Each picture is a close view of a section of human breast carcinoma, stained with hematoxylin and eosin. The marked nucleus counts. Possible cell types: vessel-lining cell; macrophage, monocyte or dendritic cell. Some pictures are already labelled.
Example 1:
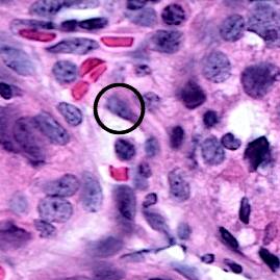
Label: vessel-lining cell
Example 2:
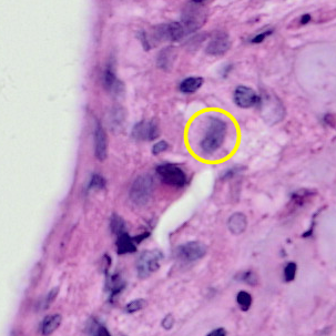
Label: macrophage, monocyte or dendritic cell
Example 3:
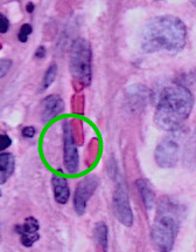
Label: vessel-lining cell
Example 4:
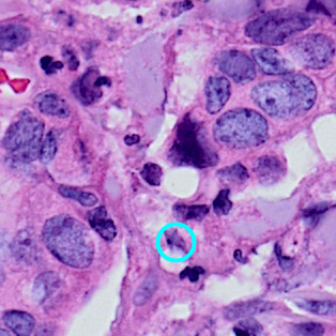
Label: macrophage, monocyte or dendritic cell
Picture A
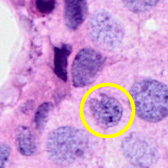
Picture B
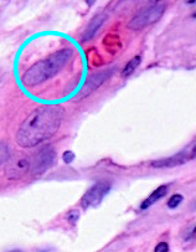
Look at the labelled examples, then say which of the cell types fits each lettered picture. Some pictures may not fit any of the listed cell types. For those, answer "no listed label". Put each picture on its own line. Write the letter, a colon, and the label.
A: no listed label
B: vessel-lining cell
